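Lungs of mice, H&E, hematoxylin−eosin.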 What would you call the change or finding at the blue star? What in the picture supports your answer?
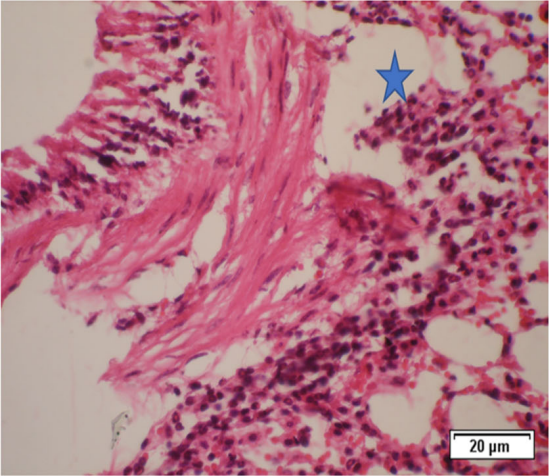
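A thick band of pink fibrous and muscular tissue runs diagonally on the left. The blue star lies beside a dense cluster of small dark-nucleated cells next to that pink wall.
Hence: Perivasculitis.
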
